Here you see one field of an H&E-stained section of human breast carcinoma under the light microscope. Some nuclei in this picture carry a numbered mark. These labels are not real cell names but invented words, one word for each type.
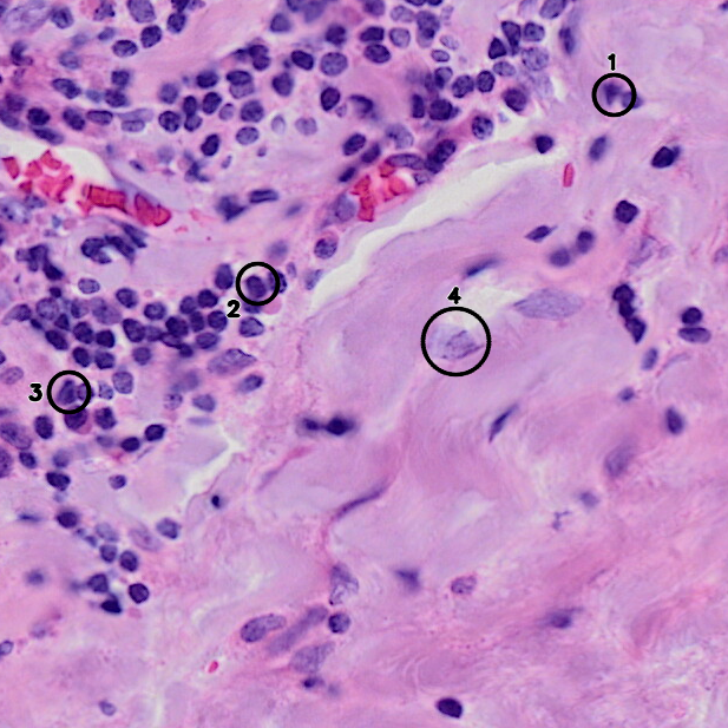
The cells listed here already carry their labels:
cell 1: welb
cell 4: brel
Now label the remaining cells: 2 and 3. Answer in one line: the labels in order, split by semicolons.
welb; welb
